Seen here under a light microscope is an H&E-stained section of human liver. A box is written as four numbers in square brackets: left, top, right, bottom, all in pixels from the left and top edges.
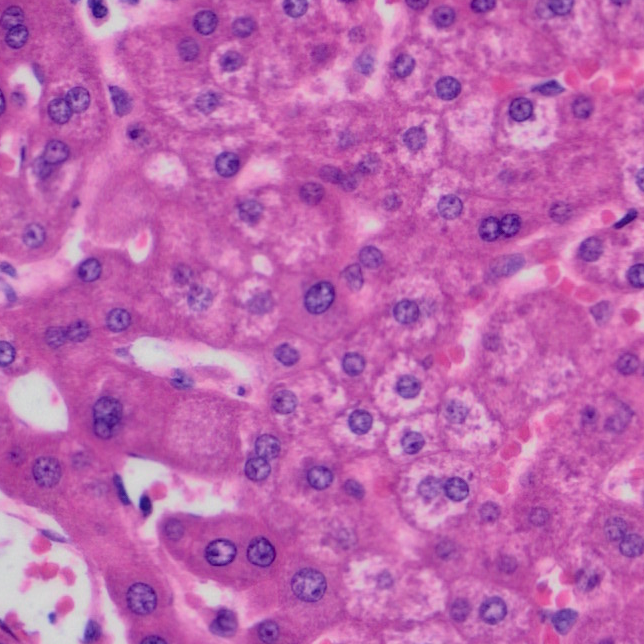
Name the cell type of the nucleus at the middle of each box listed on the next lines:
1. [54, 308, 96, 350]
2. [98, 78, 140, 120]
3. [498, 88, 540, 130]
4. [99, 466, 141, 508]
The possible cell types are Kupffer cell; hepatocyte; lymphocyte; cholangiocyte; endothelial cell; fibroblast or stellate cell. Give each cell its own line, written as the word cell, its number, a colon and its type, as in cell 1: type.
cell 1: hepatocyte
cell 2: endothelial cell
cell 3: hepatocyte
cell 4: fibroblast or stellate cell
